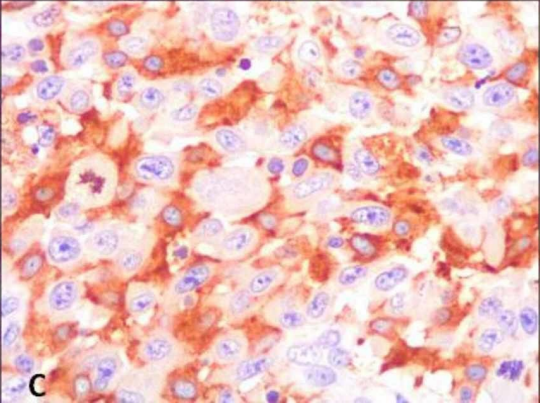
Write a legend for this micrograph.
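These are malignant epithelioid cells lying in a loose sheet, many with strong brown staining of the cytoplasm. The stained cells are large and polygonal with irregular outlines, and the brown colour fills their cytoplasm around blue oval nuclei. Nuclei vary in size, with open chromatin and visible nucleoli, and occasional mitotic figures are seen. Some large cells with pale cytoplasm remain lightly stained among the brown ones.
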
